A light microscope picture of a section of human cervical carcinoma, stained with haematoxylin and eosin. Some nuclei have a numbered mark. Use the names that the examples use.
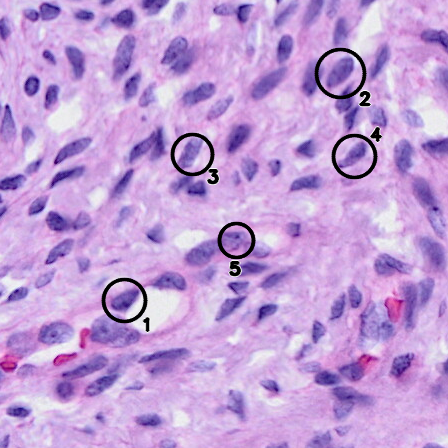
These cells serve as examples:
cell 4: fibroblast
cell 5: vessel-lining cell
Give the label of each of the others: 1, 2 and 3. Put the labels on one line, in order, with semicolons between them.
vessel-lining cell; fibroblast; fibroblast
